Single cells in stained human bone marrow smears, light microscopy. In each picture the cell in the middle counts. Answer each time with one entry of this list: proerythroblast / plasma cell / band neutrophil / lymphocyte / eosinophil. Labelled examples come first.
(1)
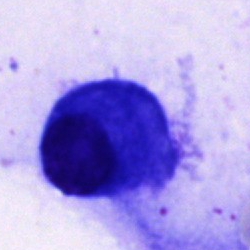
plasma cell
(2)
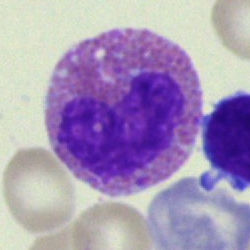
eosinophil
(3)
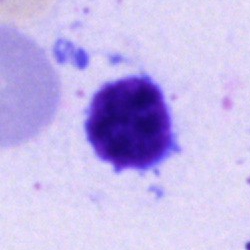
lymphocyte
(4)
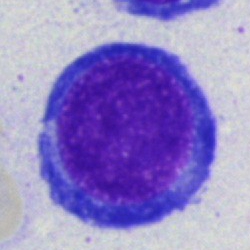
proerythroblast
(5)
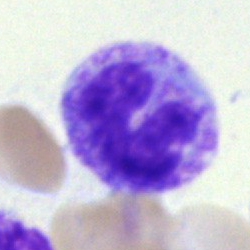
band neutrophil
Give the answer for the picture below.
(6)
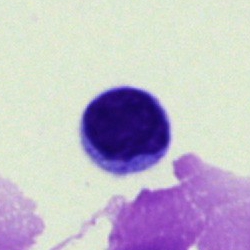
lymphocyte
